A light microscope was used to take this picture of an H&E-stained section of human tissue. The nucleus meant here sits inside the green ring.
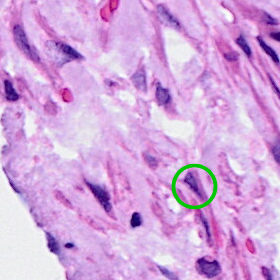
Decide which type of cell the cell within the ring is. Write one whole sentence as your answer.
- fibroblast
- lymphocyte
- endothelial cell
The cell within the ring is a fibroblast.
